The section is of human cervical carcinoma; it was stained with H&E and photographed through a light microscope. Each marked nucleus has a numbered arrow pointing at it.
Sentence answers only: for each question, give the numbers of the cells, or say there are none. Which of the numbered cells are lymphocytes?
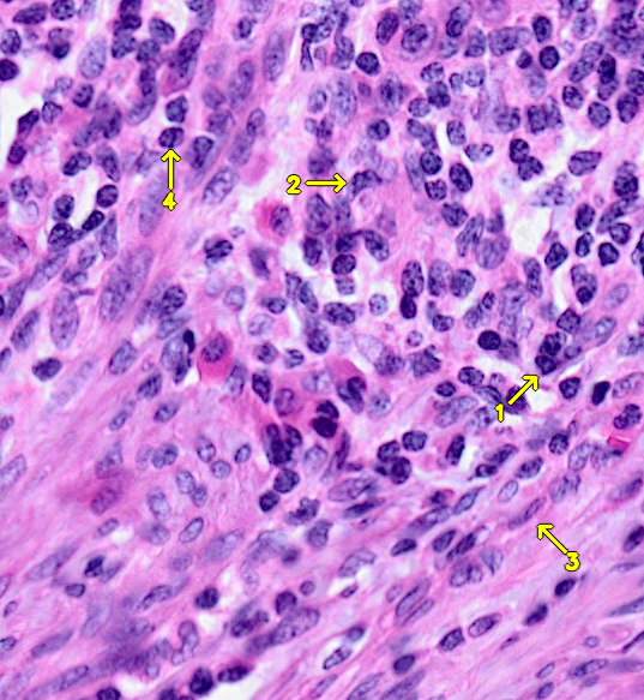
The cells with numbers 1, 2 and 4 are lymphocytes by type.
